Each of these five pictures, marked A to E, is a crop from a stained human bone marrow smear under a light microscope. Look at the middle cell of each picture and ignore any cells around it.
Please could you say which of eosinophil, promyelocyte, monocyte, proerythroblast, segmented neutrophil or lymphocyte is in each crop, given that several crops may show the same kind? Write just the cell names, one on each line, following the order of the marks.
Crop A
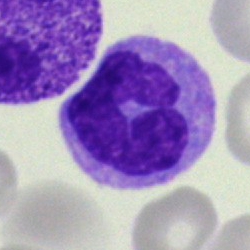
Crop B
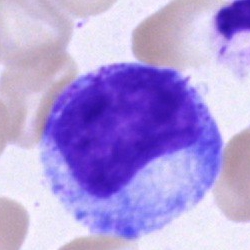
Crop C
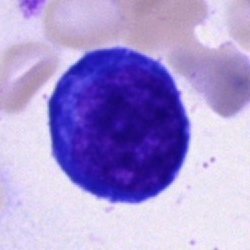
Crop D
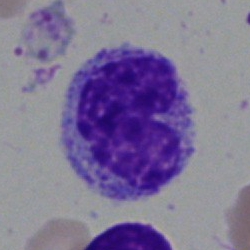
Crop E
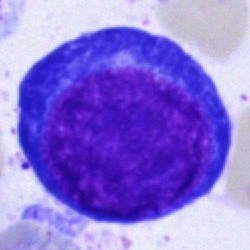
monocyte
promyelocyte
proerythroblast
monocyte
proerythroblast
